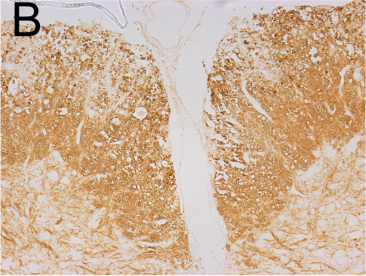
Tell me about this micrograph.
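This is spinal cord white matter stained brown on either side of a pale midline cleft. Instead of a uniformly dense brown, the tracts are patchy and riddled with small round pale holes and vacuoles, most crowded toward the outer margin.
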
